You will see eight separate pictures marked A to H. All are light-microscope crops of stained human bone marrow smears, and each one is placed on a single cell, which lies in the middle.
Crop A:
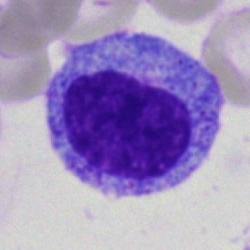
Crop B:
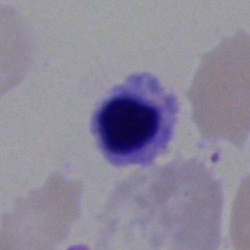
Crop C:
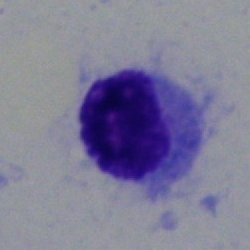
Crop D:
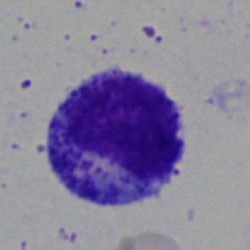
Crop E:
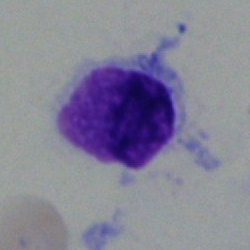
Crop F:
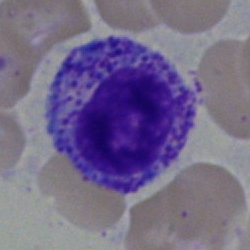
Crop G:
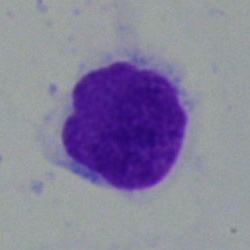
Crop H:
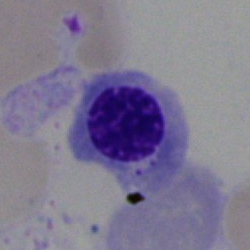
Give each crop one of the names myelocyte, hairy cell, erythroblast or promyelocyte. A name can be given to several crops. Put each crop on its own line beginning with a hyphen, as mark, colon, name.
- A: myelocyte
- B: erythroblast
- C: hairy cell
- D: promyelocyte
- E: hairy cell
- F: myelocyte
- G: hairy cell
- H: erythroblast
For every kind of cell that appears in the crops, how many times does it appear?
hairy cell: 3
myelocyte: 2
erythroblast: 2
promyelocyte: 1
